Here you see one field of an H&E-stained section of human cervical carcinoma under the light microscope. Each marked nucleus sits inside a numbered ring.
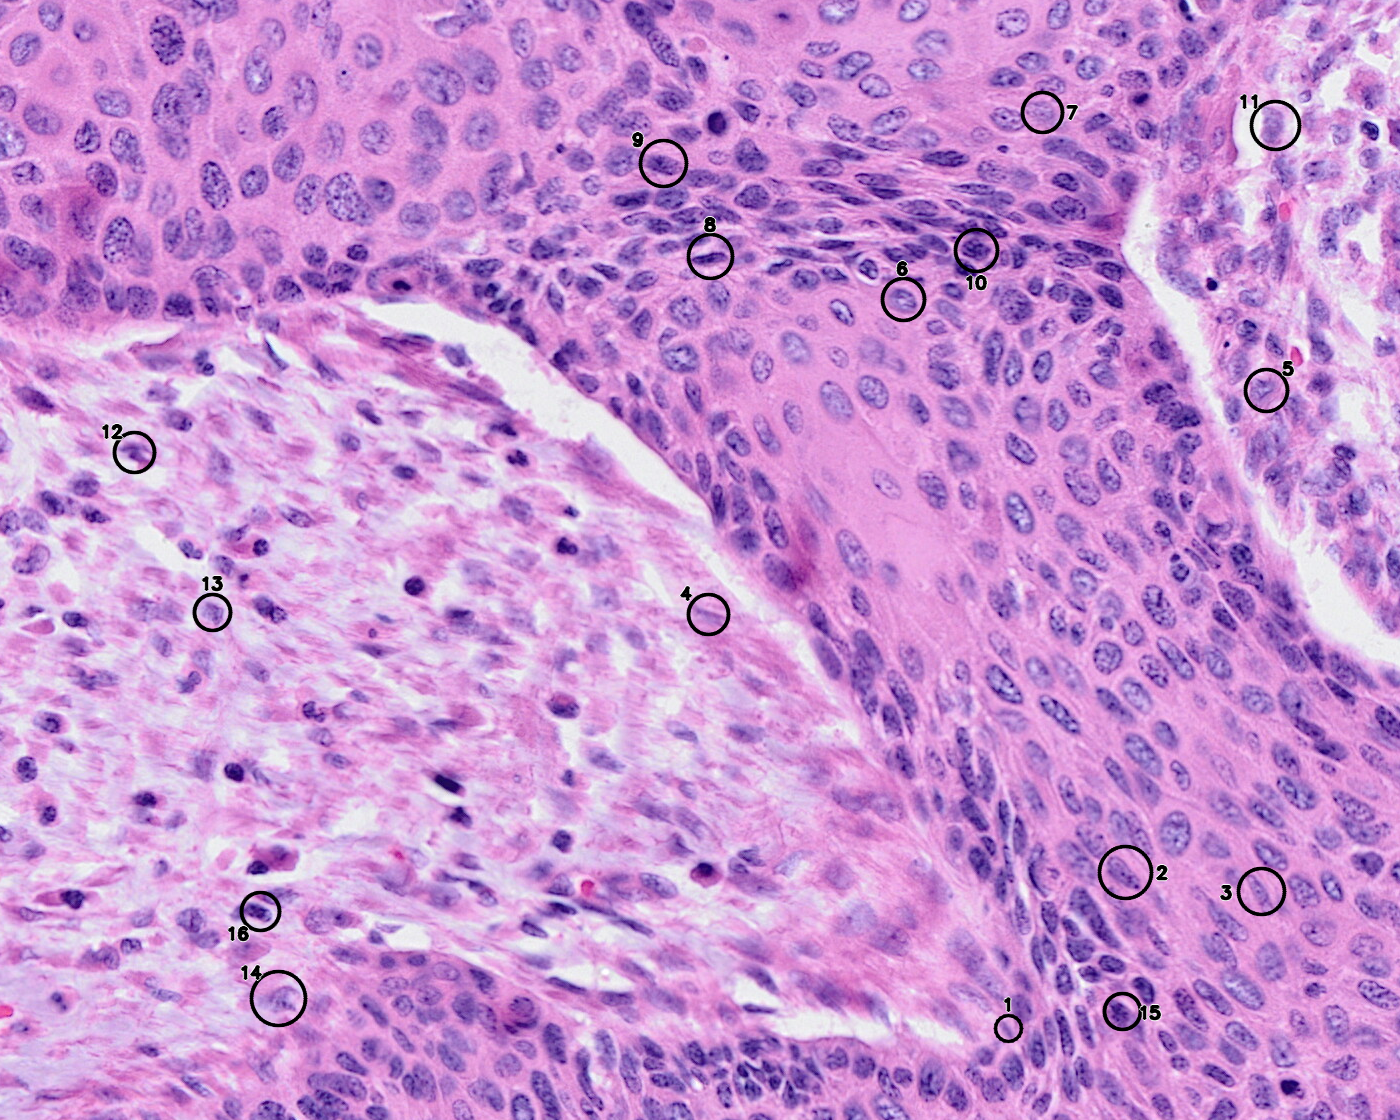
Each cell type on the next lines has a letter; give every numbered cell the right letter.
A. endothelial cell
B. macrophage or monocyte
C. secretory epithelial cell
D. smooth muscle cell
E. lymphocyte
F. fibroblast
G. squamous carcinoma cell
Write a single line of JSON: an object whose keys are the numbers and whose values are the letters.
{"1": "G", "2": "G", "3": "G", "4": "F", "5": "A", "6": "G", "7": "G", "8": "G", "9": "G", "10": "G", "11": "F", "12": "F", "13": "F", "14": "F", "15": "G", "16": "E"}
